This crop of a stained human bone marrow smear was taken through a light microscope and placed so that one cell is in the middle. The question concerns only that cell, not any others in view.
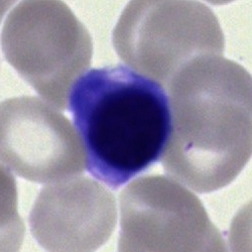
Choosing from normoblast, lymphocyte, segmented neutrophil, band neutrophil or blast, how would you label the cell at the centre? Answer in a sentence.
By type, the central cell of the crop is a normoblast.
